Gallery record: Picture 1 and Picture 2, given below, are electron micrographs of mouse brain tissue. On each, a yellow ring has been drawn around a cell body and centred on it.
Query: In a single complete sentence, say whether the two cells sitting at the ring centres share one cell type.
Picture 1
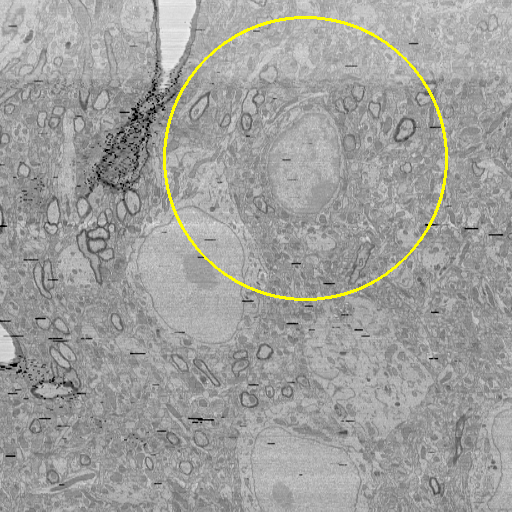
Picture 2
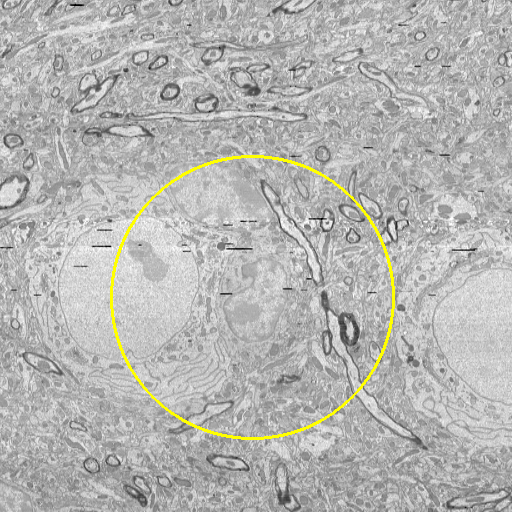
Yes, in both pictures the cell at the ring's centre is of one and the same type.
